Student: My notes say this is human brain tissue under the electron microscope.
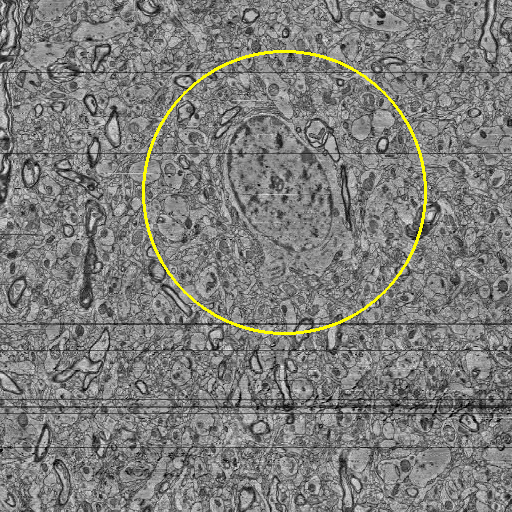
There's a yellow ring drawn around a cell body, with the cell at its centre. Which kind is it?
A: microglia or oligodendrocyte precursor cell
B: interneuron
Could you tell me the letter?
A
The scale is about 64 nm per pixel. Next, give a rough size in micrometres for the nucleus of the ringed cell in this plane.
In this plane the nucleus measures about 9 by 6 micrometres and is clearly longer than it is wide.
